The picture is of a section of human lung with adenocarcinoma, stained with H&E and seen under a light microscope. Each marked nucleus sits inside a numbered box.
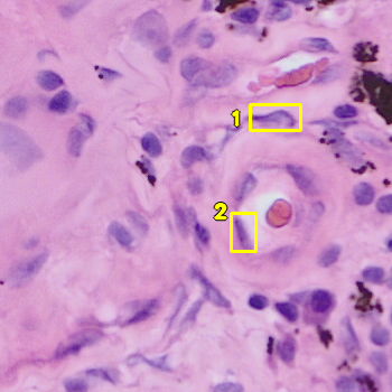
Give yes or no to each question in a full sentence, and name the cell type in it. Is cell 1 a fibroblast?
Yes, cell number 1 in this section is a fibroblast.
